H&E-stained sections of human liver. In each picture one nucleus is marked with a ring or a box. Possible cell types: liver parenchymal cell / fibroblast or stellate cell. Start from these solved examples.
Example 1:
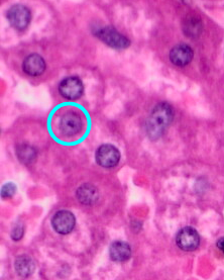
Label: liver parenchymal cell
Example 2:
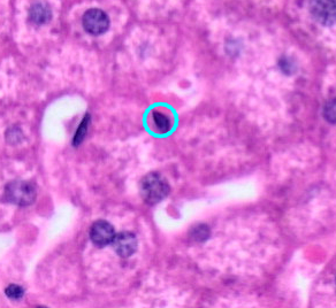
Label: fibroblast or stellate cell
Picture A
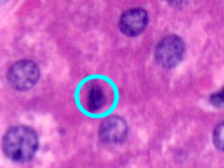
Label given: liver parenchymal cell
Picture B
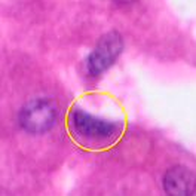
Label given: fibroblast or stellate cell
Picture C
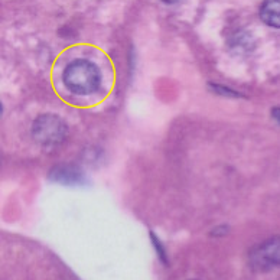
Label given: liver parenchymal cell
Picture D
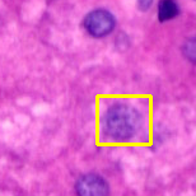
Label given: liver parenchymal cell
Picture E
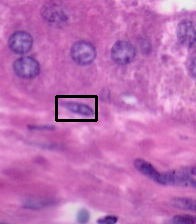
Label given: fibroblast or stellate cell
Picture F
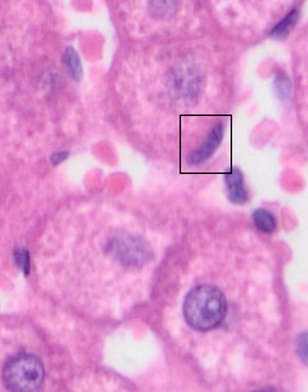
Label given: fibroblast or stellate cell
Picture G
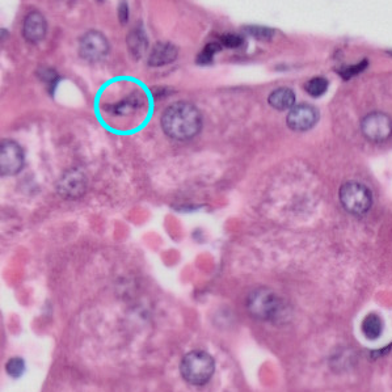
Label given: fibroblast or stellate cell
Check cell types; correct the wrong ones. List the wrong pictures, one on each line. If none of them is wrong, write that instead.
A should be fibroblast or stellate cell, not liver parenchymal cell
